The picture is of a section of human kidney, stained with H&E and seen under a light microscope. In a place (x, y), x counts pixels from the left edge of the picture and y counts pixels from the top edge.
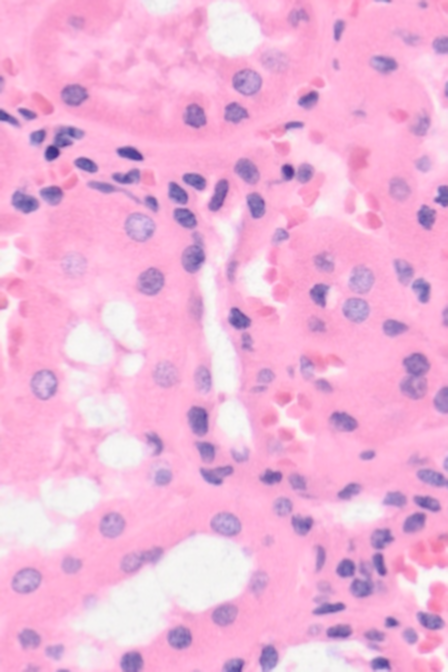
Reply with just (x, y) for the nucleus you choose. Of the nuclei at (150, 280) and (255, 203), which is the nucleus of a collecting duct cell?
(255, 203)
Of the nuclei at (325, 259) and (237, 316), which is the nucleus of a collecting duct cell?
(237, 316)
